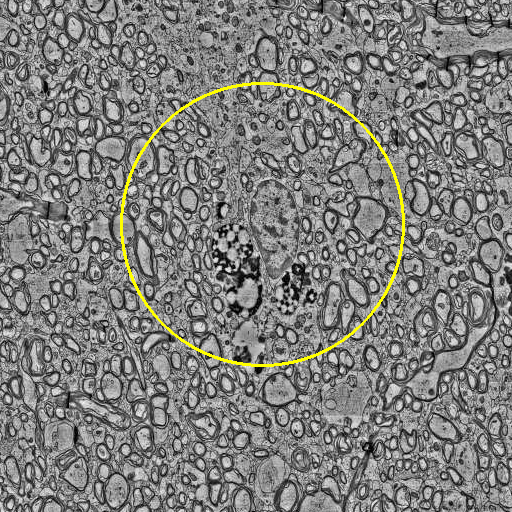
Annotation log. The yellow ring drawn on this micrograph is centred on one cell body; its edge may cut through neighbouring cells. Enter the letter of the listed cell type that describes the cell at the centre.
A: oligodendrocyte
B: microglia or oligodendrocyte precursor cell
B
